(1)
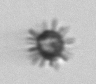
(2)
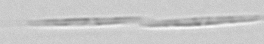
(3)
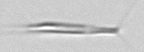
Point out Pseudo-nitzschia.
That is picture 2.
